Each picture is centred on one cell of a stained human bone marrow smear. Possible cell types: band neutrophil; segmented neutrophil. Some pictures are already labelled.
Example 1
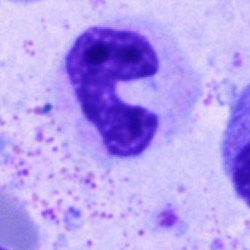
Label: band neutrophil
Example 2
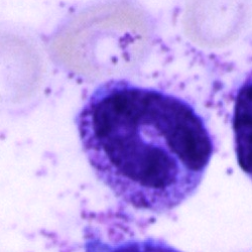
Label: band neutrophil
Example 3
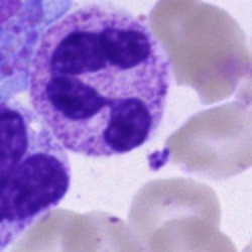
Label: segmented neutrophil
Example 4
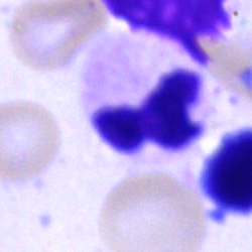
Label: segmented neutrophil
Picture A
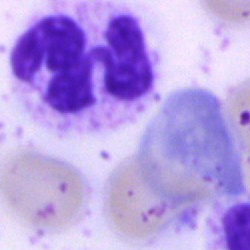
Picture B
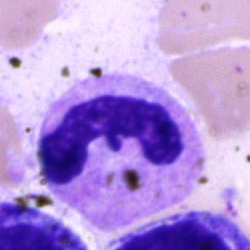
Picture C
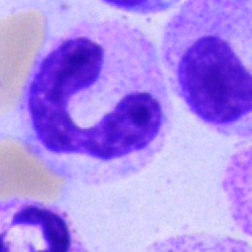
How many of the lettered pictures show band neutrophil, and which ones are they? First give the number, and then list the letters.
2, namely B, C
